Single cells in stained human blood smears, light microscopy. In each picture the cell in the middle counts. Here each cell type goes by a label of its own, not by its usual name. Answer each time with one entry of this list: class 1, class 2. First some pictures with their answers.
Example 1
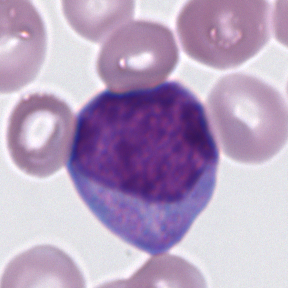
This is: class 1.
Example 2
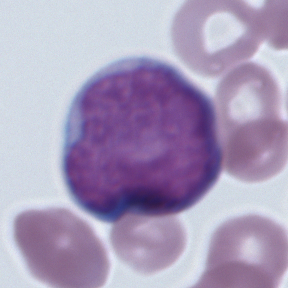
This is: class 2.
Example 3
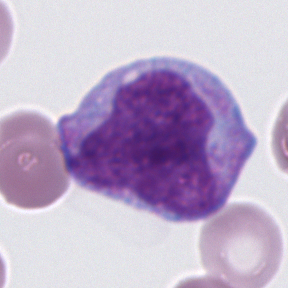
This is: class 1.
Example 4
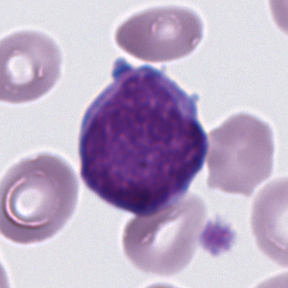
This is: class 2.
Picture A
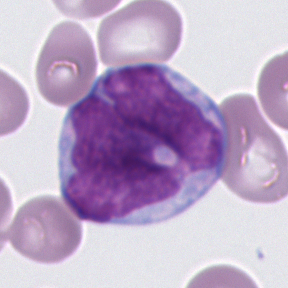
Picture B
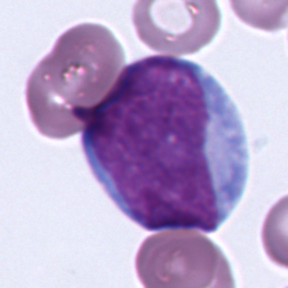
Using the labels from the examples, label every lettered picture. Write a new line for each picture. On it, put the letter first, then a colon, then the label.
A: class 1.
B: class 2.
